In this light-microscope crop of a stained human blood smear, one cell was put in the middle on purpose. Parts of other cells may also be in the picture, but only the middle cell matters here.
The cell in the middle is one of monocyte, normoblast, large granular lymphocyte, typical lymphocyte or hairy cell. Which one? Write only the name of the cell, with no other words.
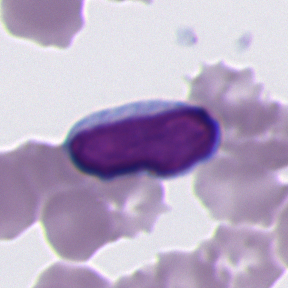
typical lymphocyte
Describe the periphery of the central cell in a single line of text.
From every side, the cell boundary is smooth and free of projections.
